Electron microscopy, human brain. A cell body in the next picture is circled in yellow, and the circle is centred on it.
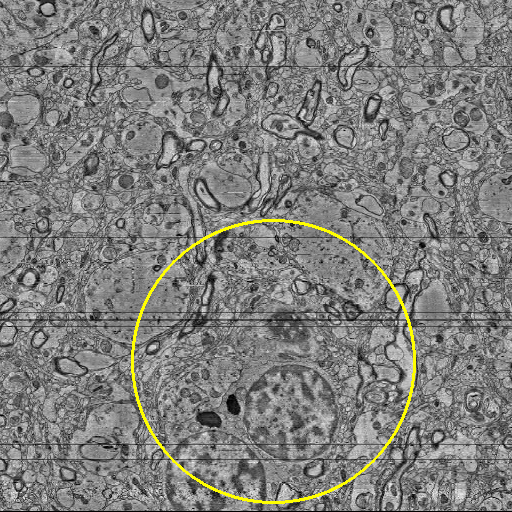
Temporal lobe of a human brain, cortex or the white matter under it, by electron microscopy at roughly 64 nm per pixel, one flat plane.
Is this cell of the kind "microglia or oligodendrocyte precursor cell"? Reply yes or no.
no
